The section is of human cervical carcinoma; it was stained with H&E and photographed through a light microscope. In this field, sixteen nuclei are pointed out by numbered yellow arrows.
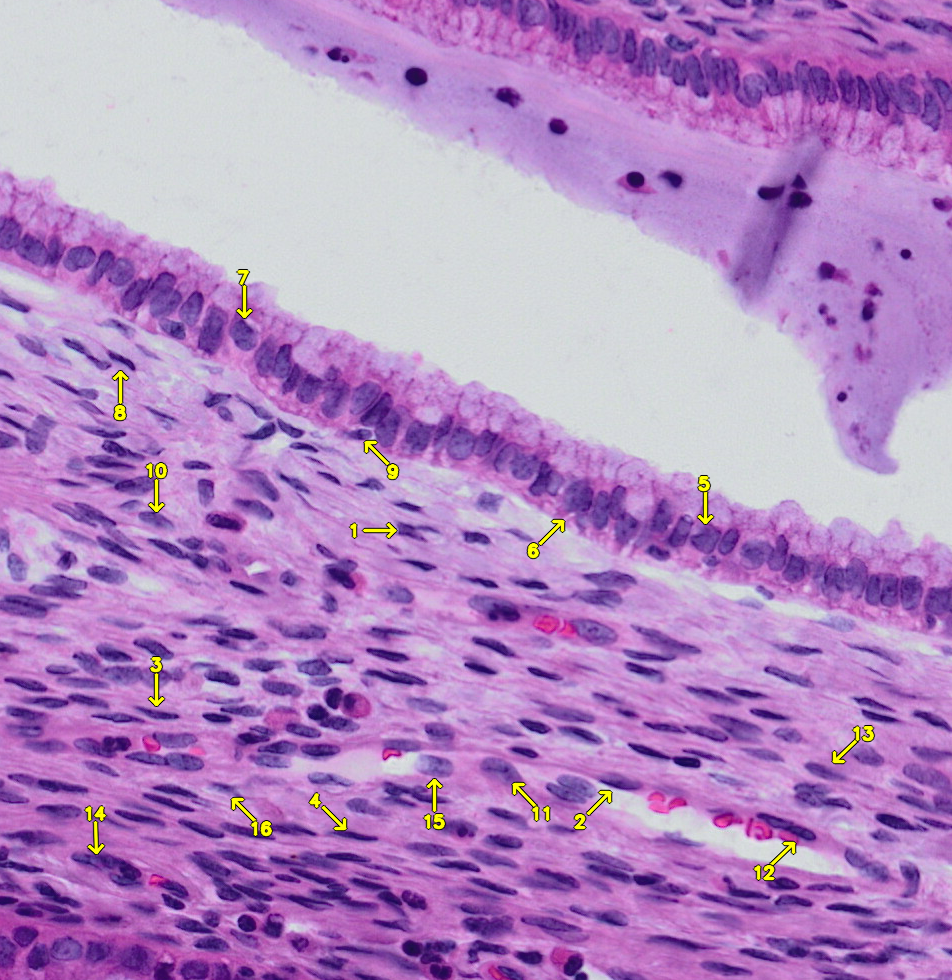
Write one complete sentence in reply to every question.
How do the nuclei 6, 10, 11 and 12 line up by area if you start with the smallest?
Smallest first, the nuclei run 12, 10, 11, 6.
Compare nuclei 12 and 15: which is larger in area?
The larger nucleus is 15, at roughly 2.5 times the area of 12.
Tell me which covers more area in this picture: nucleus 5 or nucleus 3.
Nucleus 5 covers more area, about 2 times as much as nucleus 3.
